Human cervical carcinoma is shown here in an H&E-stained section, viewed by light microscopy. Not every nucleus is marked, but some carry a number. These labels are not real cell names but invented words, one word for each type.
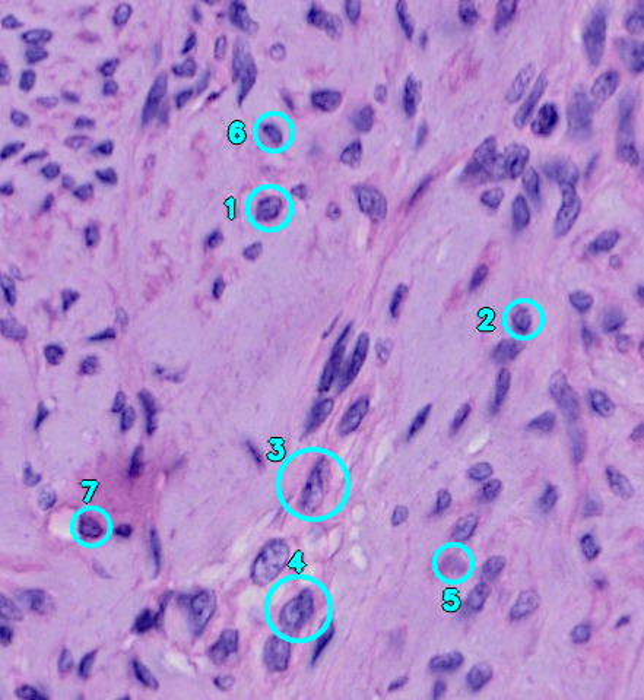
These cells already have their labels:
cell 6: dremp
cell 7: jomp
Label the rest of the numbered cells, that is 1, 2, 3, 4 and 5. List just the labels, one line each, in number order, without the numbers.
dremp
dremp
jomp
jomp
dremp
